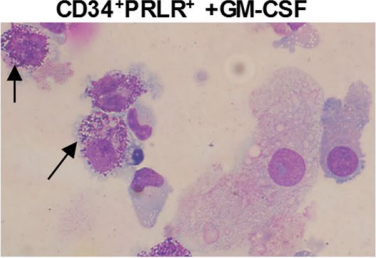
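The arrowed cells are smaller and their cytoplasm is densely packed with coarse dark purple granules that partly obscure the nucleus. To the right lie large cells with round nuclei and wide, pale, vacuolated cytoplasm. A small, dark, round cell lies between them.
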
